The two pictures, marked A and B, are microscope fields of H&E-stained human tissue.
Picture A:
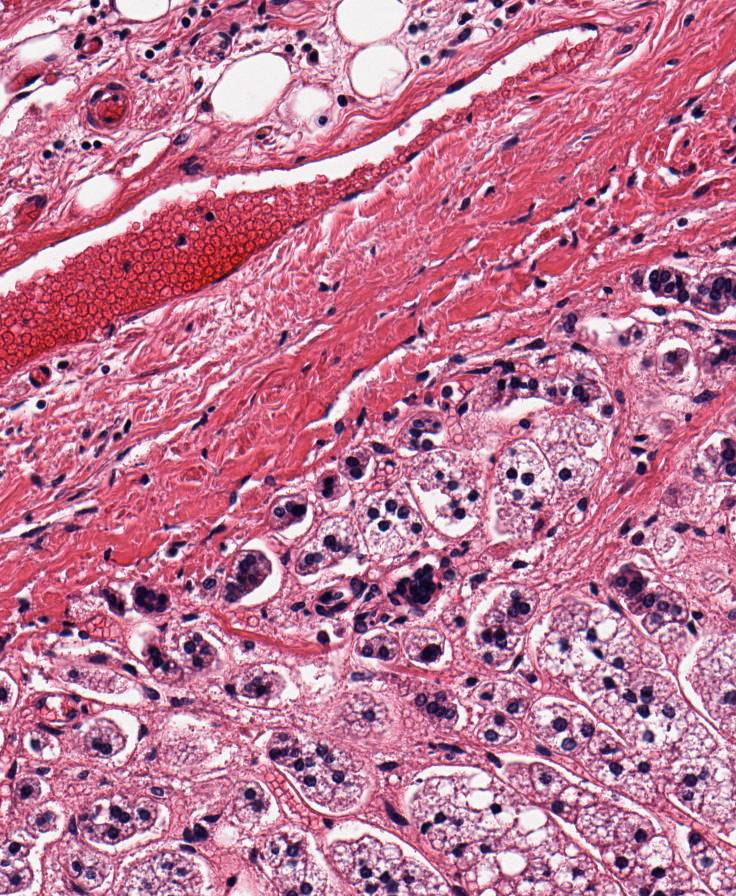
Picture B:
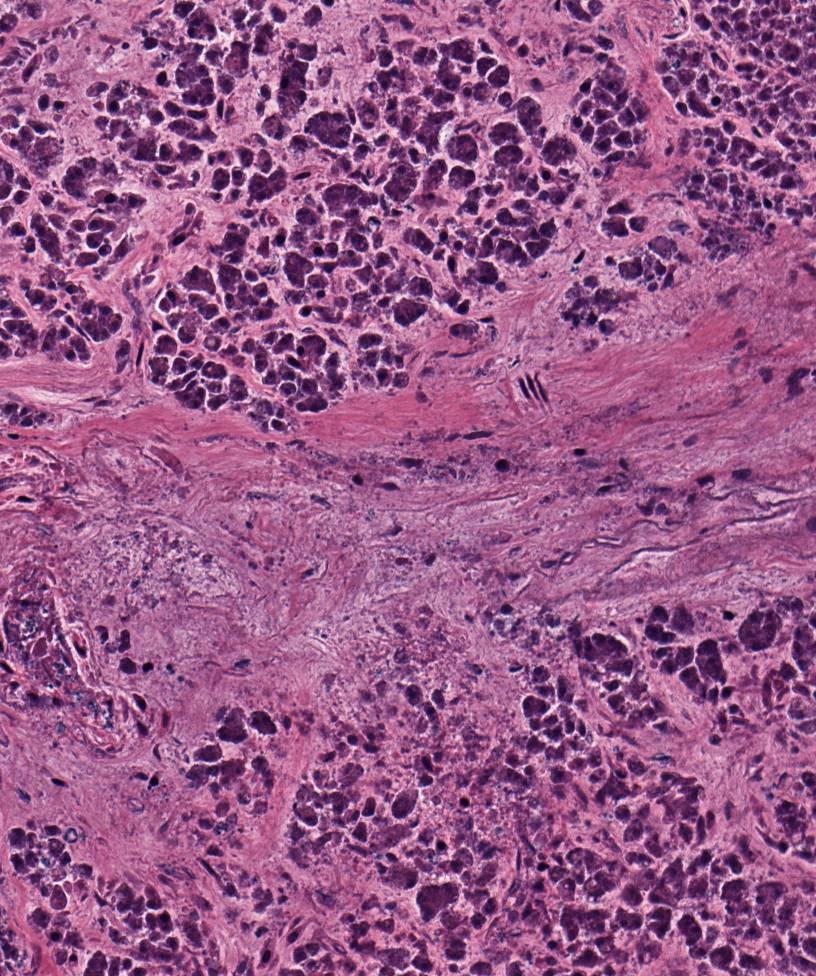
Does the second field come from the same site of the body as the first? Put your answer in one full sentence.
No, picture A comes from the adrenal gland and picture B comes from the pancreas.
